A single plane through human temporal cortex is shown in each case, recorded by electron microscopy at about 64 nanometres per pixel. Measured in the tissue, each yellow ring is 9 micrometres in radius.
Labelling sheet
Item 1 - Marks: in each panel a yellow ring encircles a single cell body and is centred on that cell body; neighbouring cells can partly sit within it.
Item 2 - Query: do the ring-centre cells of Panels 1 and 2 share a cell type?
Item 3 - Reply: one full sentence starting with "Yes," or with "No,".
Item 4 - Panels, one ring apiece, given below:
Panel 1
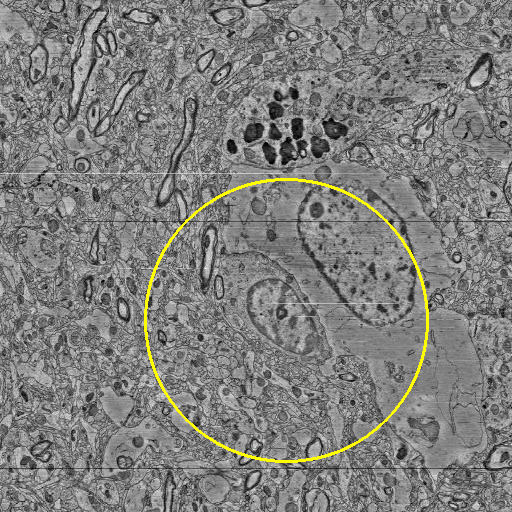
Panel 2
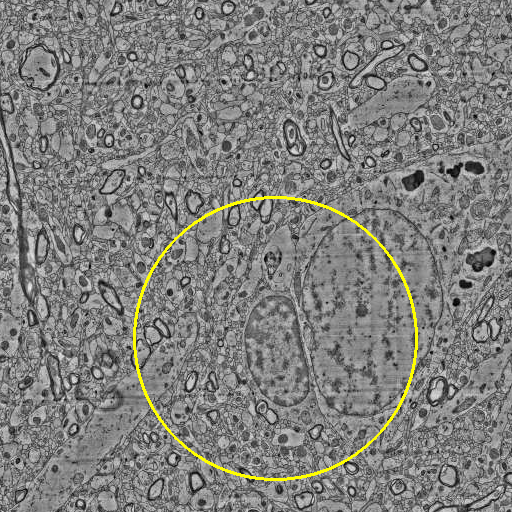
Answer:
Yes, Panel 1 and Panel 2 show one cell type at the centres of their rings.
